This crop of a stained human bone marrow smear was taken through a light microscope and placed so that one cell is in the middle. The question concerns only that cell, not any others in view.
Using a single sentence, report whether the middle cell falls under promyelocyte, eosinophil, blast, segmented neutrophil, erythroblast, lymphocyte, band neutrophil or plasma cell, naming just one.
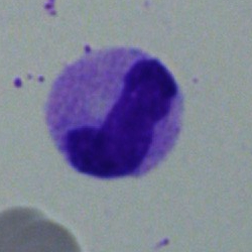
Classification of the middle cell gives a band neutrophil.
